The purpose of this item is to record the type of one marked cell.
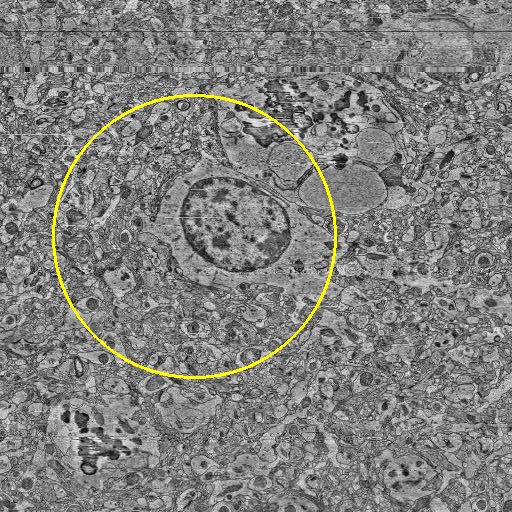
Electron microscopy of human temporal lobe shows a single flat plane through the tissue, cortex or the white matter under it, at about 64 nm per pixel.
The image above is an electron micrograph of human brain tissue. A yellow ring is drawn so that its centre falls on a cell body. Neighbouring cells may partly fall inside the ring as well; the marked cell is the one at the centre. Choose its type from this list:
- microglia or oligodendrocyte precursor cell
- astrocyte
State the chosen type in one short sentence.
What the ring marks here is an astrocyte.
